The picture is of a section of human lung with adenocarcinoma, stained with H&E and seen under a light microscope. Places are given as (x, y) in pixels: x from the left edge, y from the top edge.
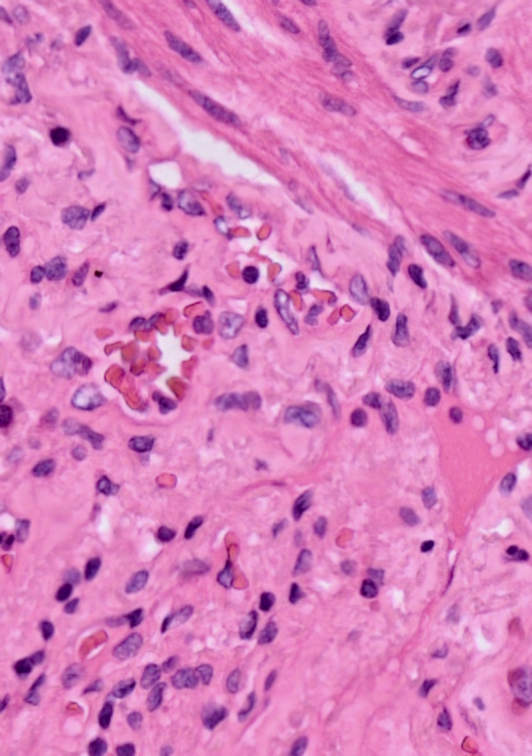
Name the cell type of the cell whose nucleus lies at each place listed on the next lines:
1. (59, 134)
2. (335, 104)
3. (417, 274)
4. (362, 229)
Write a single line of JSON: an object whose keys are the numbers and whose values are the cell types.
{"1": "plasma cell", "2": "smooth muscle cell or pericyte", "3": "mast cell", "4": "smooth muscle cell or pericyte"}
